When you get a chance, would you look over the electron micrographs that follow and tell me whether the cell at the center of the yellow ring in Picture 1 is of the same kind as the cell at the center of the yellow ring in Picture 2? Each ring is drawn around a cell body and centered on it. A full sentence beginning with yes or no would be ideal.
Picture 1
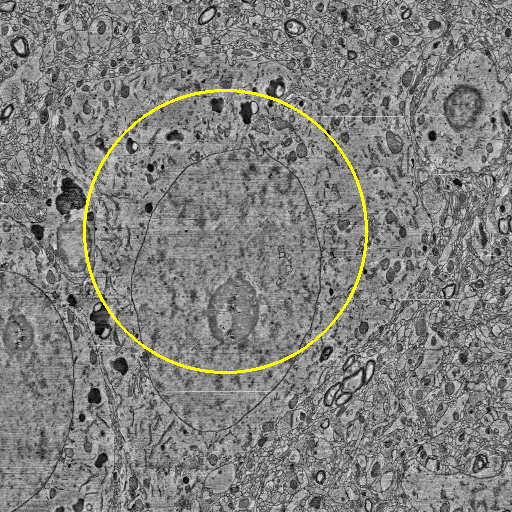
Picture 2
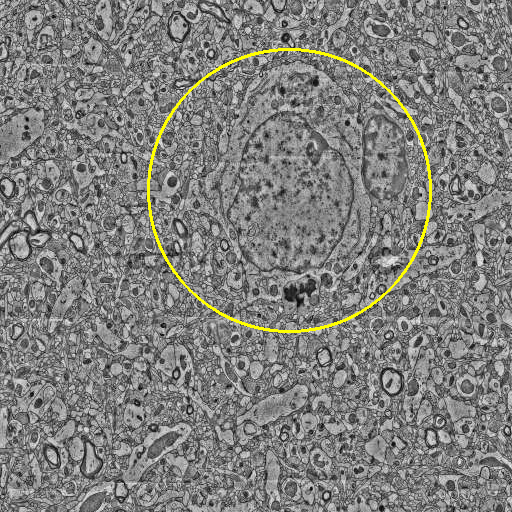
No, they are two kinds of cell.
